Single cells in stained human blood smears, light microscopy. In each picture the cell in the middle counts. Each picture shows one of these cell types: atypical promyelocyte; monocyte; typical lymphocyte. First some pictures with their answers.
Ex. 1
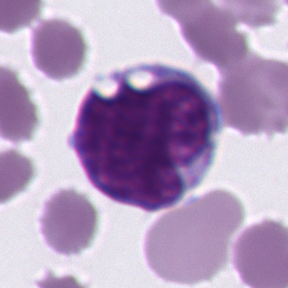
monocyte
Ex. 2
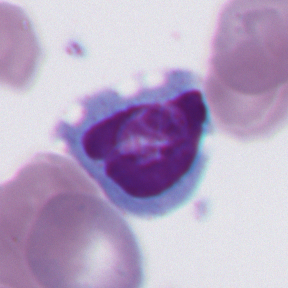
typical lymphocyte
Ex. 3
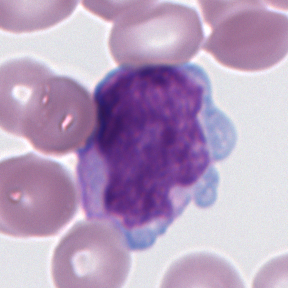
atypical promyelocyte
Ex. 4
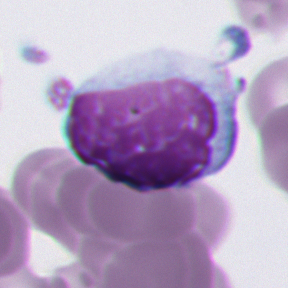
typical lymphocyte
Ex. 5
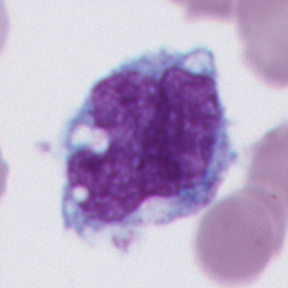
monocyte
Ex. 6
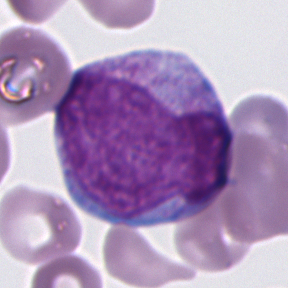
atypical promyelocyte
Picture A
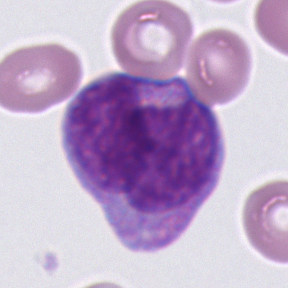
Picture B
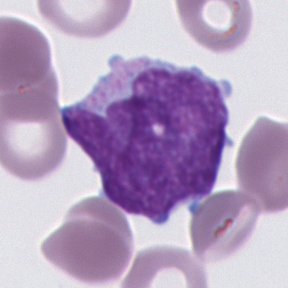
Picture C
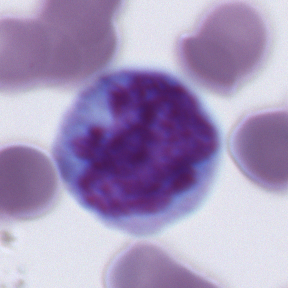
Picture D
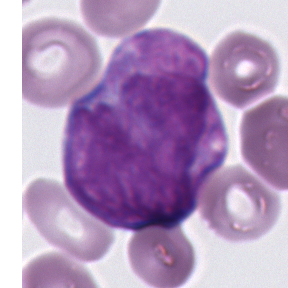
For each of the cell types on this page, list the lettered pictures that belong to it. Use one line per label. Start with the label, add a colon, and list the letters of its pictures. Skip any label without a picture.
atypical promyelocyte: A, B, D
monocyte: C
